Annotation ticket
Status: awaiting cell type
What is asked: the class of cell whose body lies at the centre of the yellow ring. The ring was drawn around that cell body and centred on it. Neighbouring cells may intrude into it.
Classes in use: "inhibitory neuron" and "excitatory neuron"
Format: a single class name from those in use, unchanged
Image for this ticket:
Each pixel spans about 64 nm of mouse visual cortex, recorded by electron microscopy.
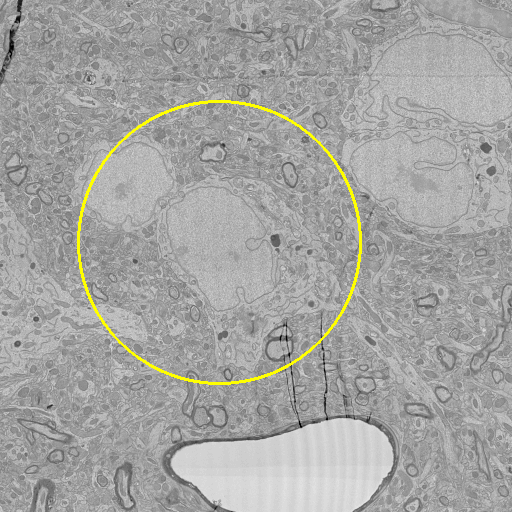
inhibitory neuron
